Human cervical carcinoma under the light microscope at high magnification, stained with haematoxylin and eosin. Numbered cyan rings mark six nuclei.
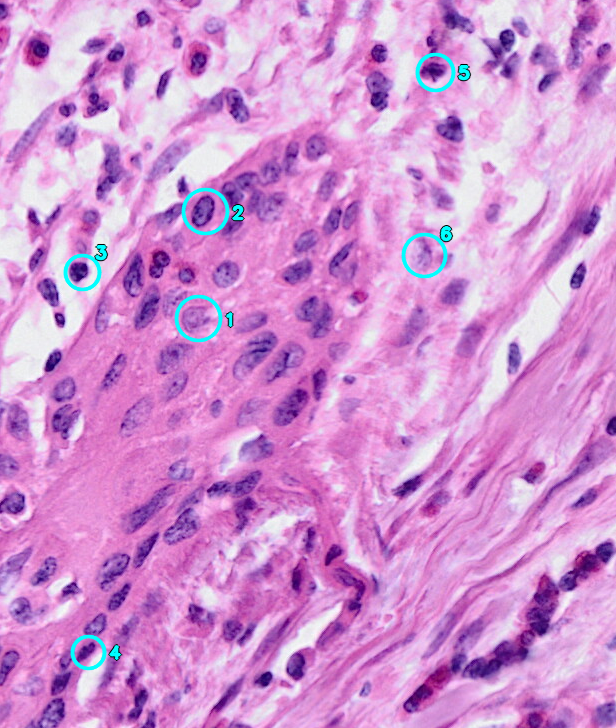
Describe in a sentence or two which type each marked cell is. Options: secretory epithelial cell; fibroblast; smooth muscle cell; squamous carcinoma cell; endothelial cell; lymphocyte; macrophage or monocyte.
Cell 1 is a squamous carcinoma cell, cell 2 is a squamous carcinoma cell, cell 3 is a lymphocyte, cell 4 is a squamous carcinoma cell, cell 5 is a lymphocyte and cell 6 is a fibroblast.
